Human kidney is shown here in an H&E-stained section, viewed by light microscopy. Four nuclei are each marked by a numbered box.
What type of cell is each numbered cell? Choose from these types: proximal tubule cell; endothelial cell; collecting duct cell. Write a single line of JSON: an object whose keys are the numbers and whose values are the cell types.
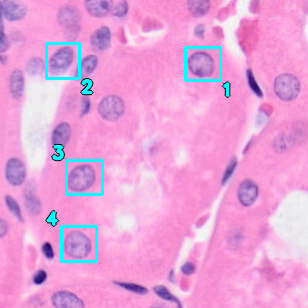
{"1": "proximal tubule cell", "2": "collecting duct cell", "3": "proximal tubule cell", "4": "proximal tubule cell"}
